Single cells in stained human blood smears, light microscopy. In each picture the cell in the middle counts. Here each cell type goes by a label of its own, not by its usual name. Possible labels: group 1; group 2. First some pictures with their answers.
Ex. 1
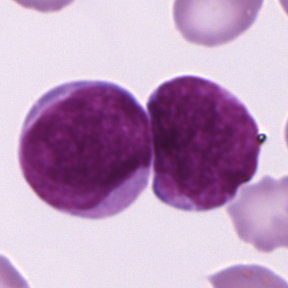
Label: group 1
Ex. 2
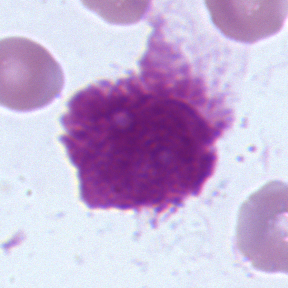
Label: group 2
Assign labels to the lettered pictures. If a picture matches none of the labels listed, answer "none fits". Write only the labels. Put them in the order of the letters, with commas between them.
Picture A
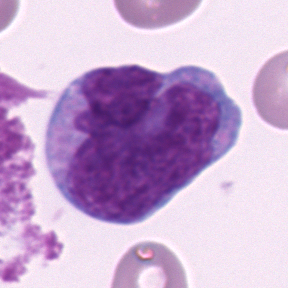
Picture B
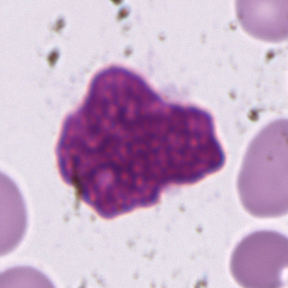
none fits, group 2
